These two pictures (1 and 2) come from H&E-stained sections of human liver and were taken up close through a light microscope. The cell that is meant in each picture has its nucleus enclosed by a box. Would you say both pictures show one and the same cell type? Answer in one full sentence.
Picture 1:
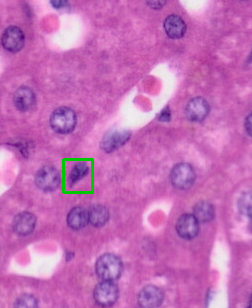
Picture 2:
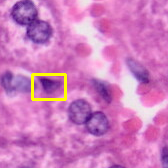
Yes, they are the same type: both are “fibroblasts or stellate cells”.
